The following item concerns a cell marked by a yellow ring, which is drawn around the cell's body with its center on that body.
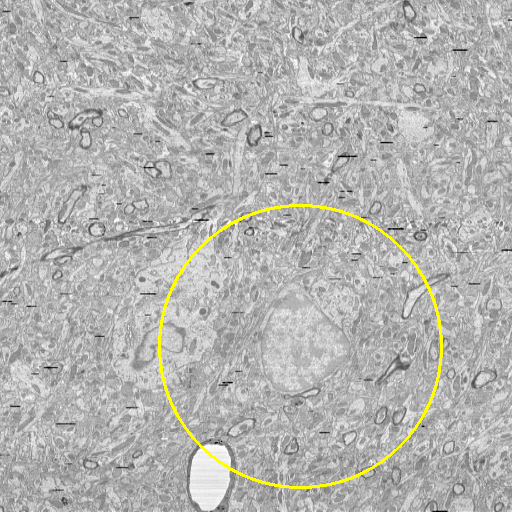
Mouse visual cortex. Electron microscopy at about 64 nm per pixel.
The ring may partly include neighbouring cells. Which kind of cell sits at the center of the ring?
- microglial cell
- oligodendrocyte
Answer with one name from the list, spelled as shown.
oligodendrocyte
